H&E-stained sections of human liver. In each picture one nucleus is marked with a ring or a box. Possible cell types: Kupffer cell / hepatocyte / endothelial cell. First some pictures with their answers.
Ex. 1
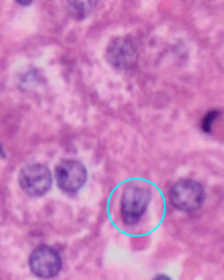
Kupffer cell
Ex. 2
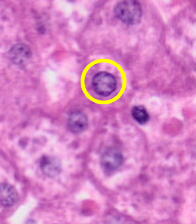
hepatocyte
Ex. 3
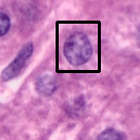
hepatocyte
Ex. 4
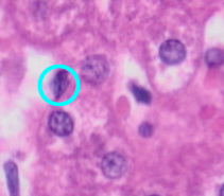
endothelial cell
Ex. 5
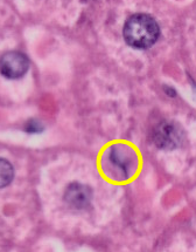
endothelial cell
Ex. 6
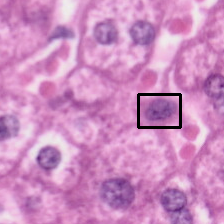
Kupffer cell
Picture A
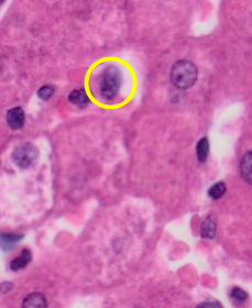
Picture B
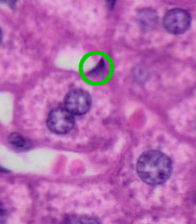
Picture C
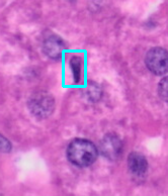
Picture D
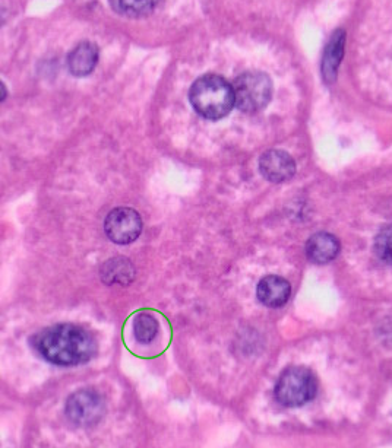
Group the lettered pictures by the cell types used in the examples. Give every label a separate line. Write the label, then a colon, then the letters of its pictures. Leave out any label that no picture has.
Kupffer cell: A, D
endothelial cell: B, C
